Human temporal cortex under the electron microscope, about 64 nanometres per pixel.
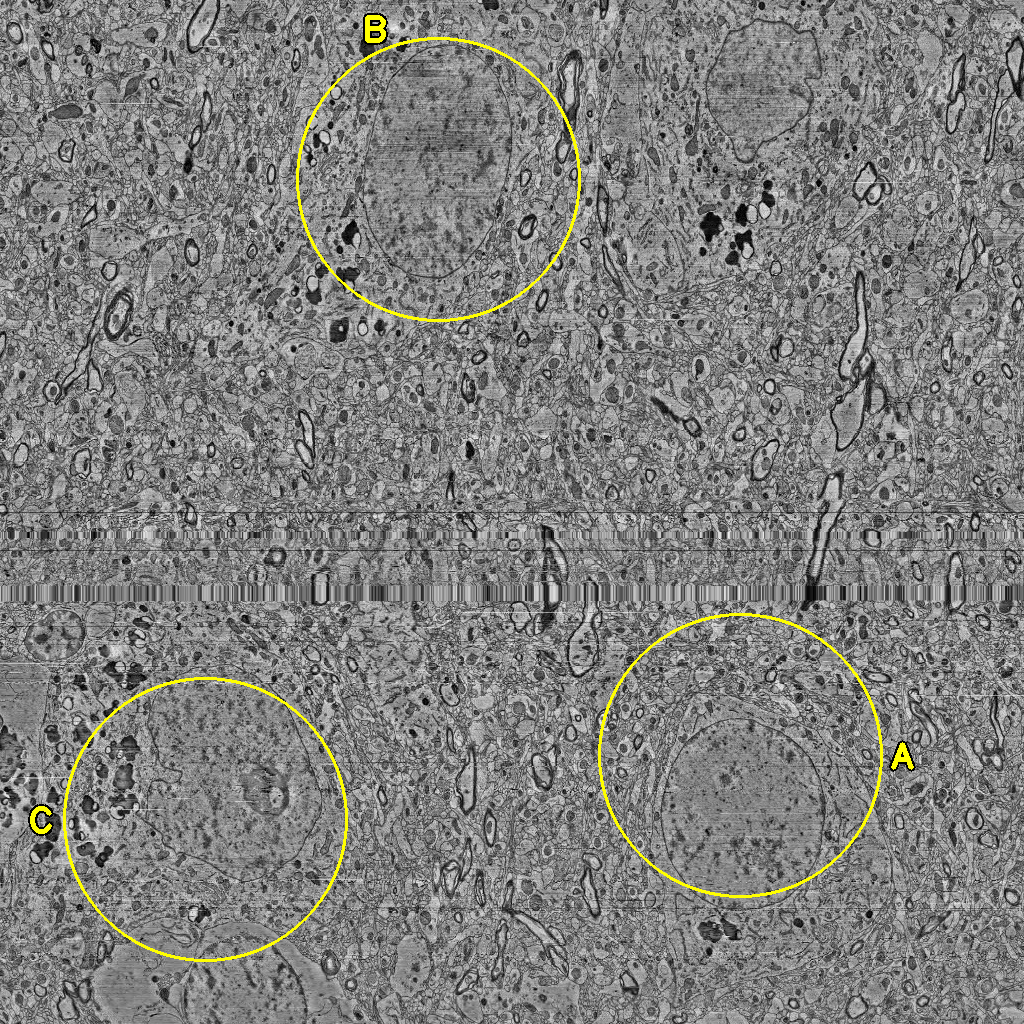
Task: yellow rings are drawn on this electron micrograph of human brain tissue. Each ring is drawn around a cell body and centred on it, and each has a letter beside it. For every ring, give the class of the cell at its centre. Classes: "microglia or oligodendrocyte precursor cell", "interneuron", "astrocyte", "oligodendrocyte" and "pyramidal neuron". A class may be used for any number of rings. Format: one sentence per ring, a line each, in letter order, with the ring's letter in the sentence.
The cell ringed as A is a pyramidal neuron.
The cell ringed as B is a pyramidal neuron.
The cell ringed as C is a pyramidal neuron.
